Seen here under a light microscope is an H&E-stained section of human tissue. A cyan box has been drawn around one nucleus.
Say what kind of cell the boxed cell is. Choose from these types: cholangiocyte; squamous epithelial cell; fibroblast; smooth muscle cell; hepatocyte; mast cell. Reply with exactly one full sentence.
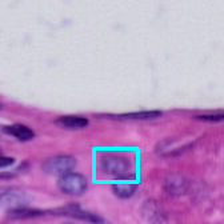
Within the stained tissue, the boxed cell is a cholangiocyte.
